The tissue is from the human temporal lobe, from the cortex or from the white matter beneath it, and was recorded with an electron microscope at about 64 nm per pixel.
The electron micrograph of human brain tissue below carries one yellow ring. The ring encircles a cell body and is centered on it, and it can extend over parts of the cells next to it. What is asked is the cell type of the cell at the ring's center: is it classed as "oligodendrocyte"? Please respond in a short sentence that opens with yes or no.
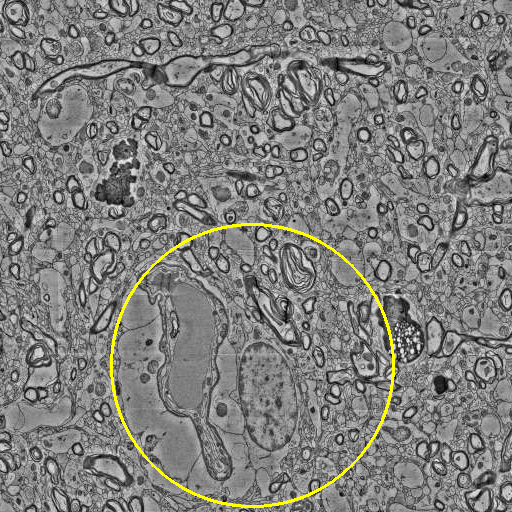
No, it is classed otherwise.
